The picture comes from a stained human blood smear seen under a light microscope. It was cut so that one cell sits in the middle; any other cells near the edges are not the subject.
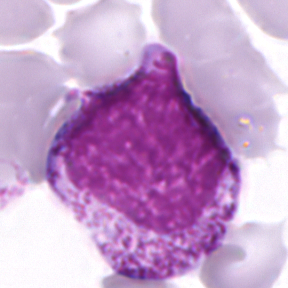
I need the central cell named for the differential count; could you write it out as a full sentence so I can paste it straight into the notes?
At the crop's centre, the cell is a promyelocyte.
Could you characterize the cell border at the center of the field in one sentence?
Irregular and not smooth, the cell boundary is ragged or drawn out into projections.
